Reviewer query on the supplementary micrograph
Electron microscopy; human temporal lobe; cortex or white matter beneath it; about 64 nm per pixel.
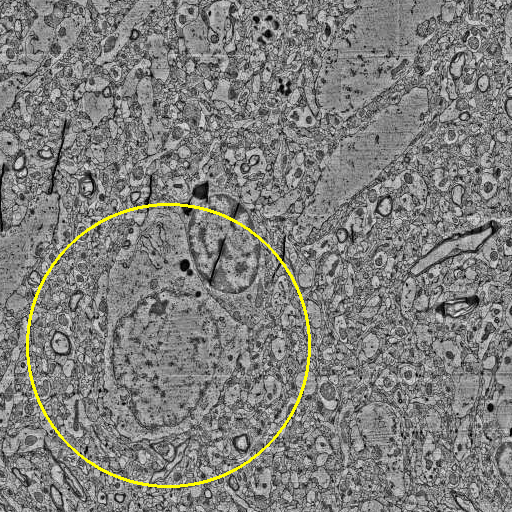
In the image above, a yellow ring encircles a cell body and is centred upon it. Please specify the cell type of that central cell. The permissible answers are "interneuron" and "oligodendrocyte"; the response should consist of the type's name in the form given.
interneuron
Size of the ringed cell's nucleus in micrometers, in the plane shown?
The ringed cell's nucleus is about 9 micrometres long and 7 micrometres wide in this plane.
